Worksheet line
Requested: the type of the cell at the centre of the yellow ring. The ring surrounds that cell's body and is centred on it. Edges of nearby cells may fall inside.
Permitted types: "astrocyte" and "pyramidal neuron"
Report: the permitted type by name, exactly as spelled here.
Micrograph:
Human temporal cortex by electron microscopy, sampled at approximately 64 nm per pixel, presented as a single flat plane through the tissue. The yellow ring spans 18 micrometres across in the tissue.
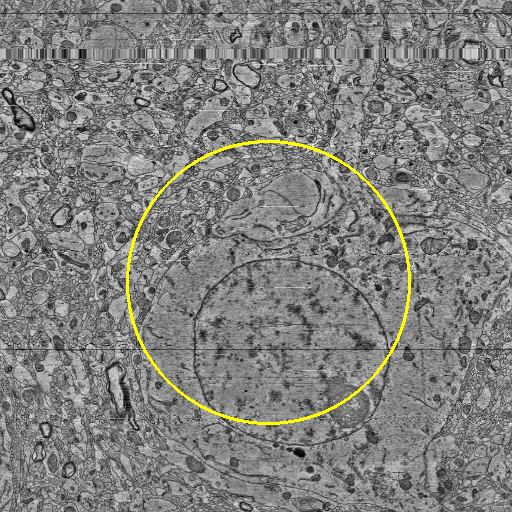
pyramidal neuron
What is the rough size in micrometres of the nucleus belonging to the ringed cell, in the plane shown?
Roughly 13 micrometers across, in this plane.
